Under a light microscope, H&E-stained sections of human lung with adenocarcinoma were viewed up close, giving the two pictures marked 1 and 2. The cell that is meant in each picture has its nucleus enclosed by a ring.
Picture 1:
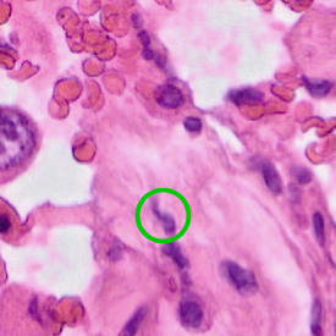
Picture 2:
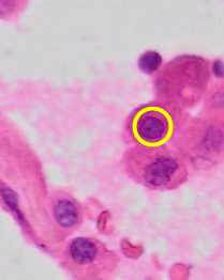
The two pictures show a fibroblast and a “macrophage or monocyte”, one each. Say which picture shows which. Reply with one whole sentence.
Picture 2 shows a “macrophage or monocyte”, while picture 1 shows a fibroblast.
